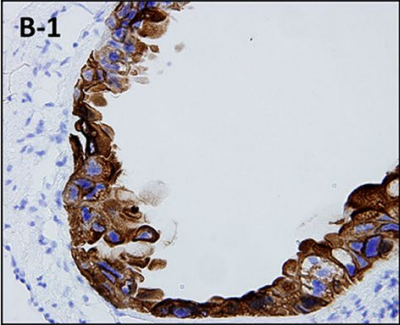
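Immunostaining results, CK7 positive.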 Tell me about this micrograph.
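A cyst wall is lined by epithelial cells whose cytoplasm is stained strongly brown, while their nuclei remain blue. The lining cells are crowded and in places piled up, with enlarged, irregular nuclei. The surrounding loose stroma contains scattered spindle-shaped blue nuclei and shows no brown staining.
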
